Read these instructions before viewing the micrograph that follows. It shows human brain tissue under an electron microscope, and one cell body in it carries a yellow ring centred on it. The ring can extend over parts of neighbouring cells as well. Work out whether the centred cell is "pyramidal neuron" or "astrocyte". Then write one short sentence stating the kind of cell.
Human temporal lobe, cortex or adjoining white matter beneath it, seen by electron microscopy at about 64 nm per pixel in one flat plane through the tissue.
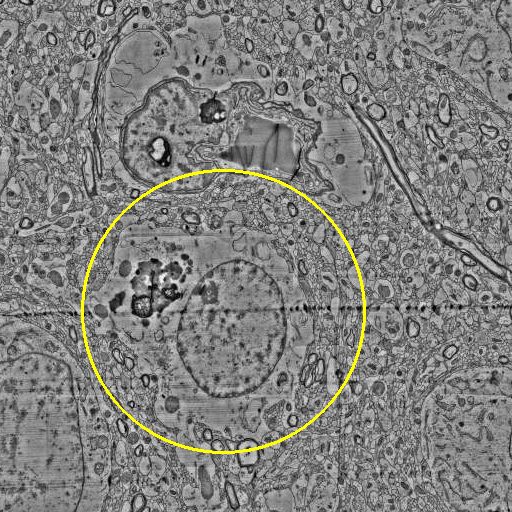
The ringed cell is an astrocyte.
